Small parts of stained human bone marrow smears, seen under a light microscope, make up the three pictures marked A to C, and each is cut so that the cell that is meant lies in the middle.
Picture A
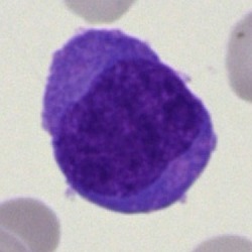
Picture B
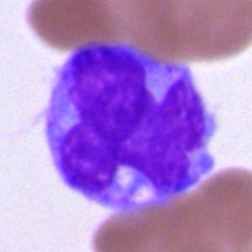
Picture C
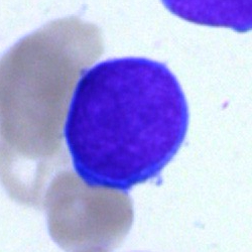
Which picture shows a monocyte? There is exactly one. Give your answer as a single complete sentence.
The cell in picture B is the monocyte.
